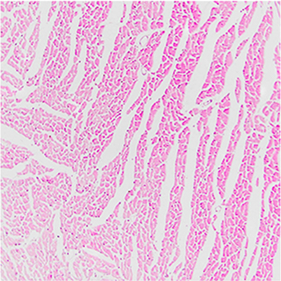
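Bundles of cardiac muscle fibres run in parallel bands from one corner of the field toward the other. Some bundles are cut lengthwise, others more across, where they show as small polygonal pink profiles packed closely together. Between the bundles lie narrow white clefts, which are gaps in the section between muscle layers. The fibres look uniformly stained, with no pale patches, no clusters of inflammatory cells and no broad bands of scar tissue between them.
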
